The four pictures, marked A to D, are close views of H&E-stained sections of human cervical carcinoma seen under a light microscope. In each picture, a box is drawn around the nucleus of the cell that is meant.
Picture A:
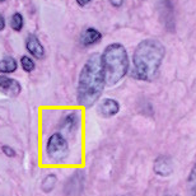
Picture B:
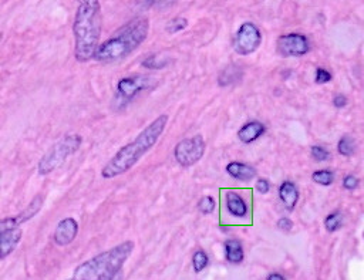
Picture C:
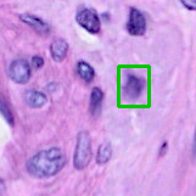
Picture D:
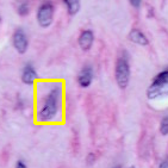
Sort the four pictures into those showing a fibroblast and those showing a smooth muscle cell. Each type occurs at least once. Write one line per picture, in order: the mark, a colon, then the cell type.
A: smooth muscle cell
B: smooth muscle cell
C: fibroblast
D: smooth muscle cell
